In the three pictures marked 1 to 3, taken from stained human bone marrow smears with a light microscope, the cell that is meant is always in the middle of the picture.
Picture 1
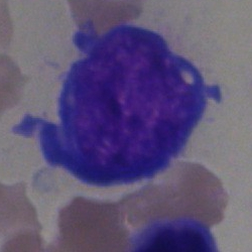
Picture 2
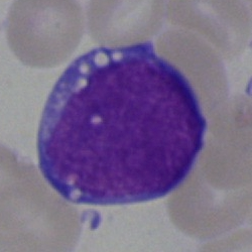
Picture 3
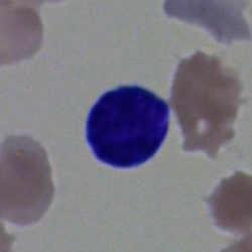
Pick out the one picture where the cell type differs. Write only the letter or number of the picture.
3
